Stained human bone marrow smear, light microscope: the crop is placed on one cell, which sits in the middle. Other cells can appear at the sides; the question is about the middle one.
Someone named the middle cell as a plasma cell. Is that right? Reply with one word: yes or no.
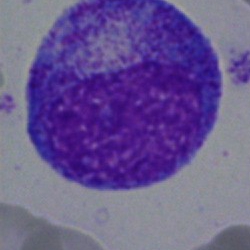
no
